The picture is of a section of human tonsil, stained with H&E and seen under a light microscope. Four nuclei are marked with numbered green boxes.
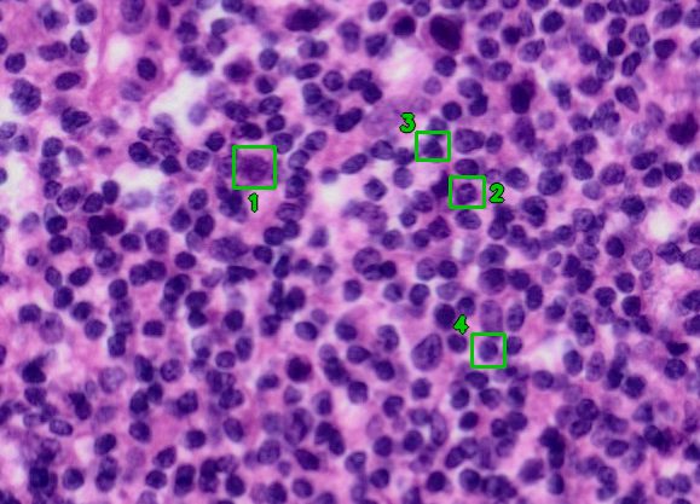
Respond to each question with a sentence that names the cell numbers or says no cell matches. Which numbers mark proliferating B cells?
Cell 1 is a proliferating B cell, and this holds for no other numbered cell.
